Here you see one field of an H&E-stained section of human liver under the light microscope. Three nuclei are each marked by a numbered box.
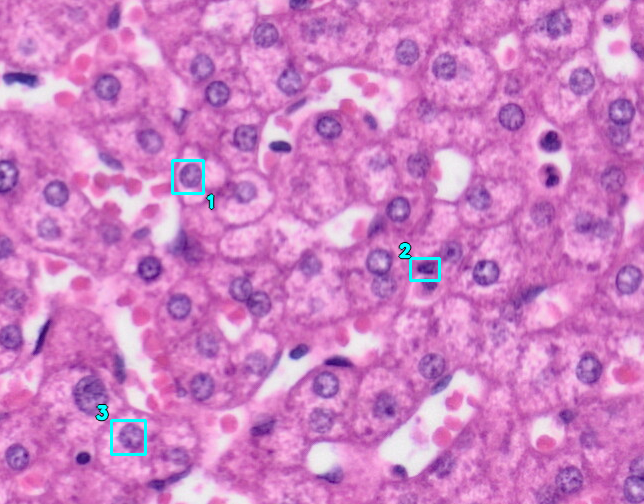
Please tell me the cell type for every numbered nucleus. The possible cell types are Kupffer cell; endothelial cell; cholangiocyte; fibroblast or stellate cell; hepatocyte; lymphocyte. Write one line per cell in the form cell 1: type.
cell 1: hepatocyte
cell 2: fibroblast or stellate cell
cell 3: hepatocyte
